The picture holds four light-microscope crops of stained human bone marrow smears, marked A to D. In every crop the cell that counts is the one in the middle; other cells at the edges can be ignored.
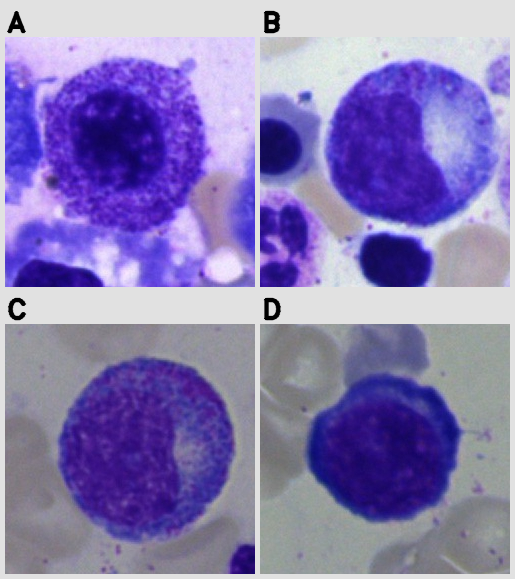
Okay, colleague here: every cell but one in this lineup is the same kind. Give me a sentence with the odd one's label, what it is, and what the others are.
Crop D is the one to flag: it is a proerythroblast, and the rest show promyelocytes.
